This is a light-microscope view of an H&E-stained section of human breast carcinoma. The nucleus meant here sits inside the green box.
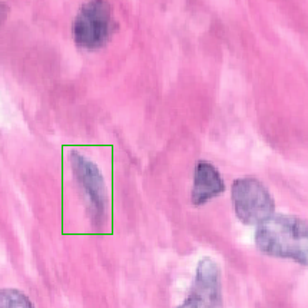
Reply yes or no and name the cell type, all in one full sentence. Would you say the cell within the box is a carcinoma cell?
No, not quite: the cell within the box is a fibroblast rather than a carcinoma cell.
